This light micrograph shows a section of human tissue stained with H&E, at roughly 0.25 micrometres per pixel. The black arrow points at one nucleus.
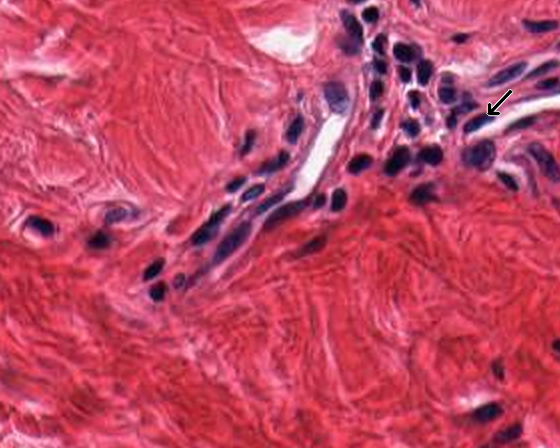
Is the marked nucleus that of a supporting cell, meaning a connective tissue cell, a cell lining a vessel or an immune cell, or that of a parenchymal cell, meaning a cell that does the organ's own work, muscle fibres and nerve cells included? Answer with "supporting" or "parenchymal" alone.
supporting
